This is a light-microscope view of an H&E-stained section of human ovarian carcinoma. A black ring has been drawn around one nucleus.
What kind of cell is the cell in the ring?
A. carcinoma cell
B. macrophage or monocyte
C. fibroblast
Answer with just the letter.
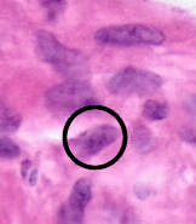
C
